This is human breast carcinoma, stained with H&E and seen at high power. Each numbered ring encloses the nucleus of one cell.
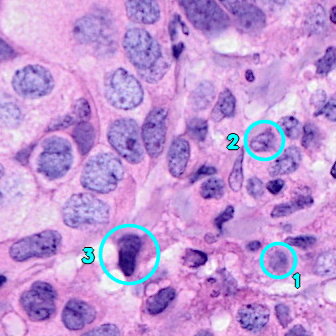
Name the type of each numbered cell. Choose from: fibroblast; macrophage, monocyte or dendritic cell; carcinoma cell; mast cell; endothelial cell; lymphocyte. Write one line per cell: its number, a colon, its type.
1: macrophage, monocyte or dendritic cell
2: macrophage, monocyte or dendritic cell
3: carcinoma cell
